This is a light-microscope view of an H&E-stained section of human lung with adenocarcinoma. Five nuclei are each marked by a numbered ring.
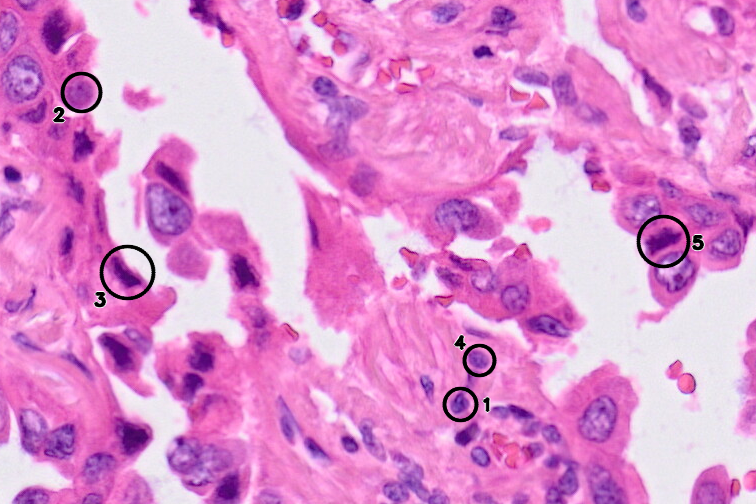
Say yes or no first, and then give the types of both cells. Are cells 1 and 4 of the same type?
Yes, the two numbered cells, 1 and 4, are both lymphocytes.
